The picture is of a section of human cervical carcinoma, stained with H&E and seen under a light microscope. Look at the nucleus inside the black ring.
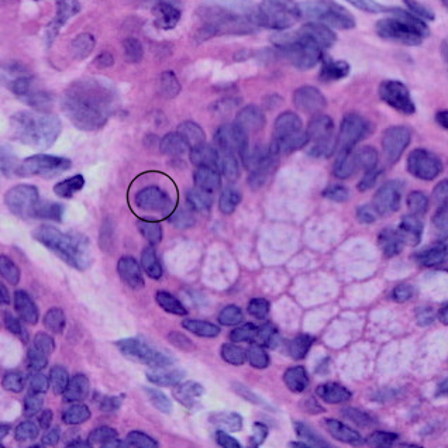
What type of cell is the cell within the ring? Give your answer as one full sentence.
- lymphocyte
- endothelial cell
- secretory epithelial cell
The category to which the cell within the ring belongs is that of a secretory epithelial cell.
